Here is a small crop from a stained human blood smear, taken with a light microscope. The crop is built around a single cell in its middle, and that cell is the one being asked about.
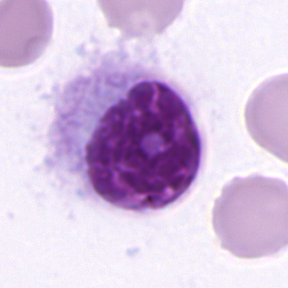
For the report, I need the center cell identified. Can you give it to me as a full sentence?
Whatever else lies nearby, the middle cell is a plasma cell.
